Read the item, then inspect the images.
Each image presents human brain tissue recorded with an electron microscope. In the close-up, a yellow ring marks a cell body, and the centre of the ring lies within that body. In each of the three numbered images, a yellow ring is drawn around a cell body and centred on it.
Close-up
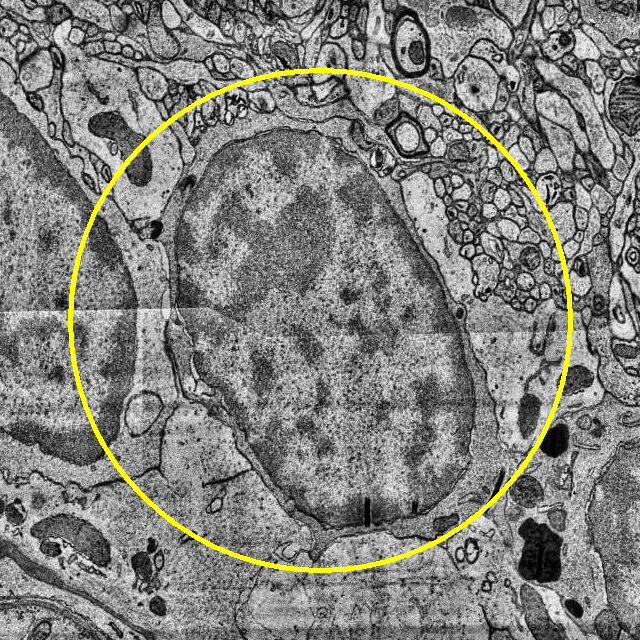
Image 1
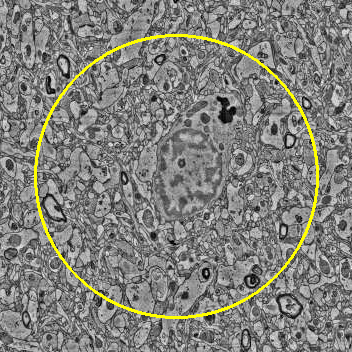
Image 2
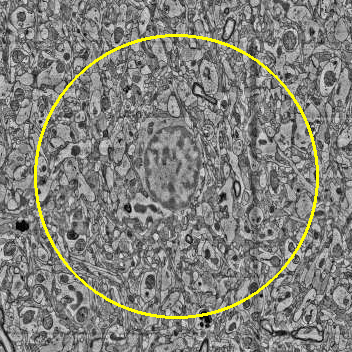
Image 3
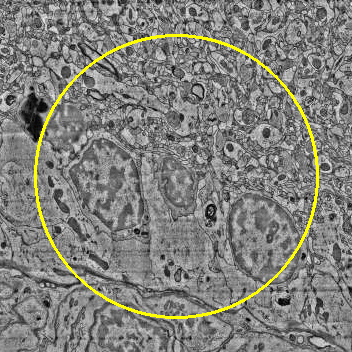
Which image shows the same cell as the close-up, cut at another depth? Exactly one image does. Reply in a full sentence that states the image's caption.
The close-up corresponds to the yellow-ringed cell in Image 3.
